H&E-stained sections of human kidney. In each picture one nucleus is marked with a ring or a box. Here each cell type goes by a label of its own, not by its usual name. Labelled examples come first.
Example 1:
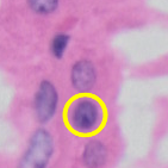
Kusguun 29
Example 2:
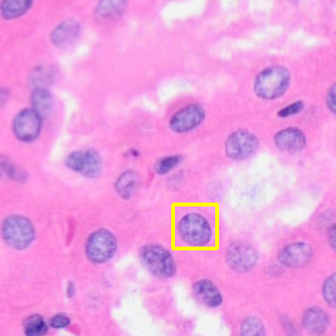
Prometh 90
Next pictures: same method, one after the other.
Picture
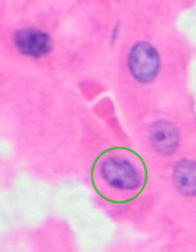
Kusguun 29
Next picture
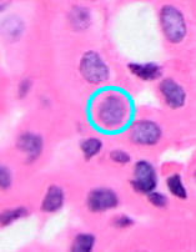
Prometh 90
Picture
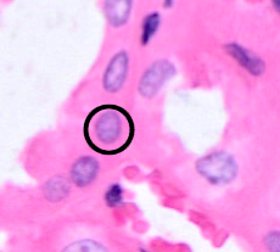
Kusguun 29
